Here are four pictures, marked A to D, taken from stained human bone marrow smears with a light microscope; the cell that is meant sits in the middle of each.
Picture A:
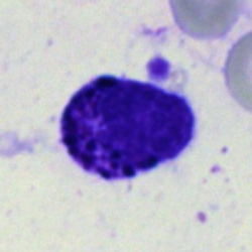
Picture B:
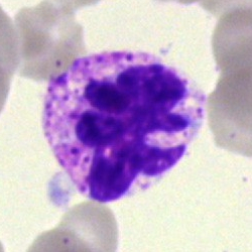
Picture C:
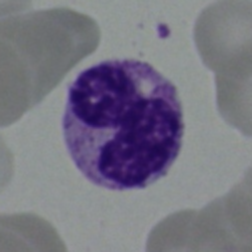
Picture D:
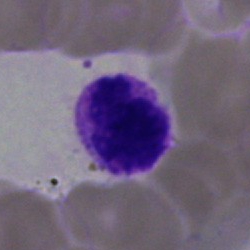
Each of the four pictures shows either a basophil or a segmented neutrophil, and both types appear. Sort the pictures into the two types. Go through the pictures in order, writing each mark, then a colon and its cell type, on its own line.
A: basophil
B: basophil
C: segmented neutrophil
D: basophil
